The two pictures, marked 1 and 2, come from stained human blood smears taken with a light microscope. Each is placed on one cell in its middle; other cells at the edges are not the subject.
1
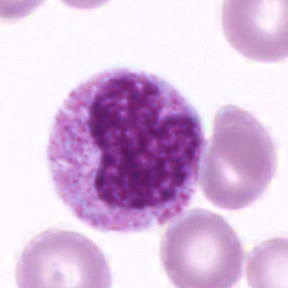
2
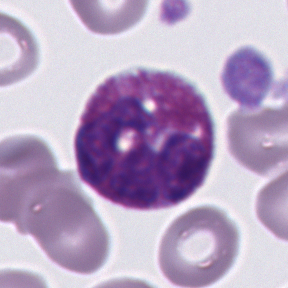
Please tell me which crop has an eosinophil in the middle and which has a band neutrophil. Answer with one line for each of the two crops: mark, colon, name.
1: band neutrophil
2: eosinophil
